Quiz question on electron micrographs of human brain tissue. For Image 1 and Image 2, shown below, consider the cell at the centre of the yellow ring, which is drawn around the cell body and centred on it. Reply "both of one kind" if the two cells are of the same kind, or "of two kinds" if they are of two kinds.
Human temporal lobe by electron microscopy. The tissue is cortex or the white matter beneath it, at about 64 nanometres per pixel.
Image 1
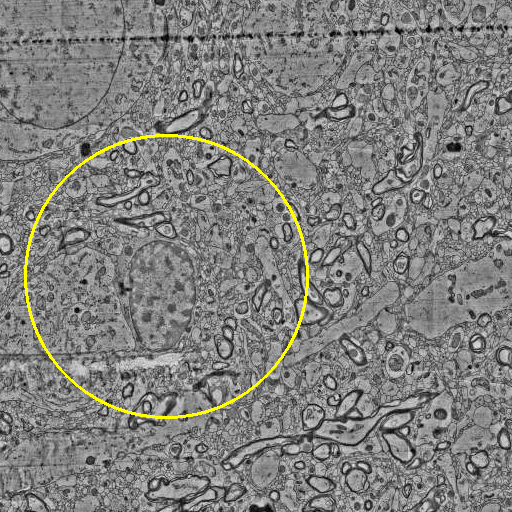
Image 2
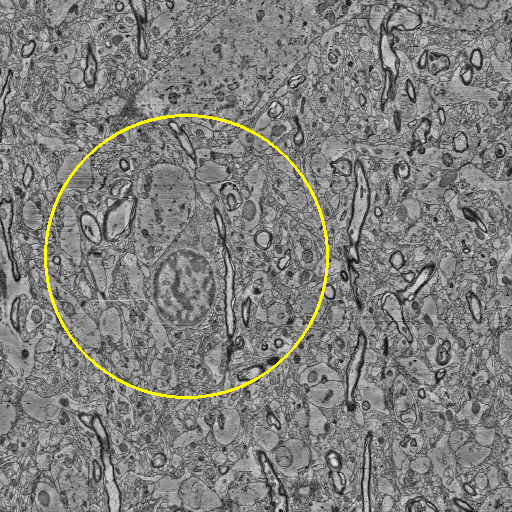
both of one kind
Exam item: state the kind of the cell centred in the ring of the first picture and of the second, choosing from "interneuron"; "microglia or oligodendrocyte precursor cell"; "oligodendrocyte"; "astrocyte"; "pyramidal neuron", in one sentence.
Each of the two rings surrounds an oligodendrocyte.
